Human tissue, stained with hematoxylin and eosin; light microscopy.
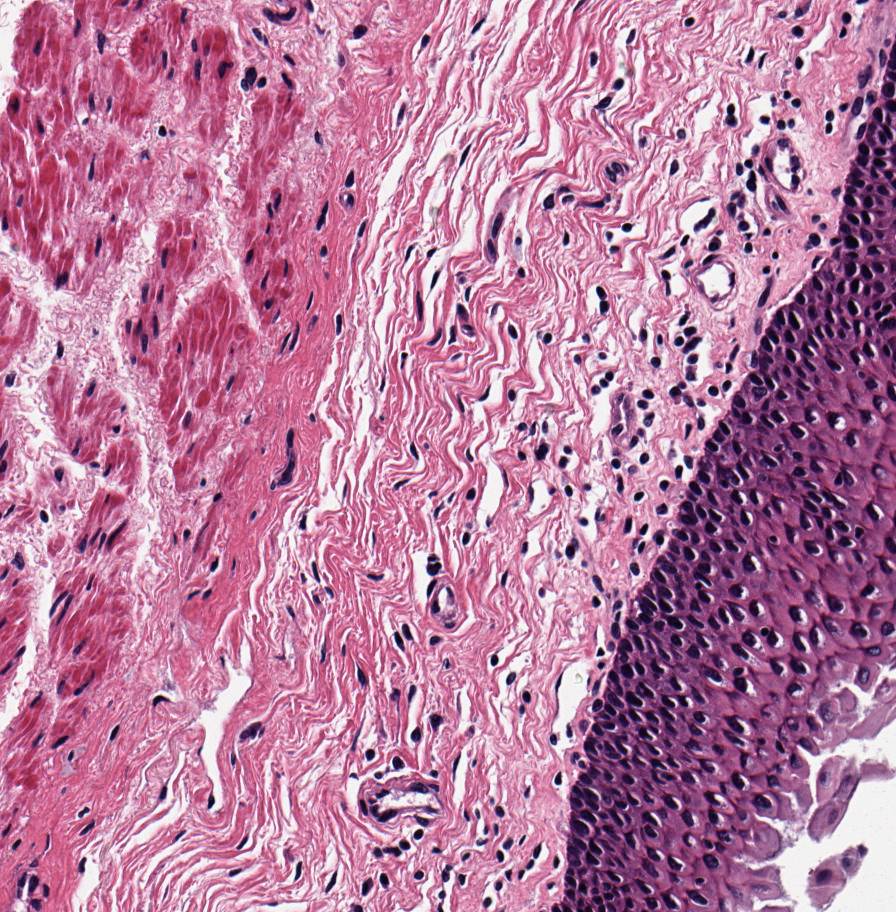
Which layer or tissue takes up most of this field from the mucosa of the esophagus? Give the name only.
loose connective tissue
